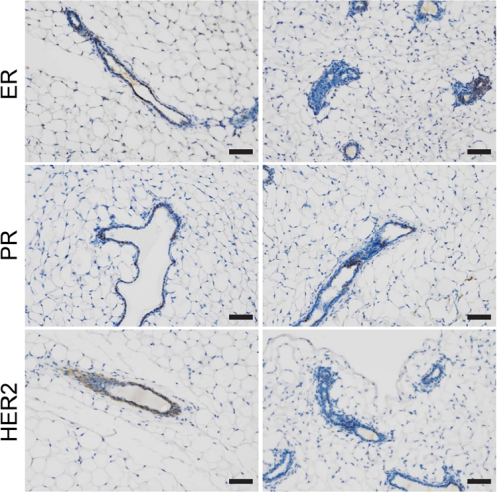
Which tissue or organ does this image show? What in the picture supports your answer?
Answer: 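Small ducts lined by a thin epithelial layer. The ducts lie in a field of large empty-looking fat cells. Blue-counterstained fibrous tissue surrounds the ducts.
Mammary glands.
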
